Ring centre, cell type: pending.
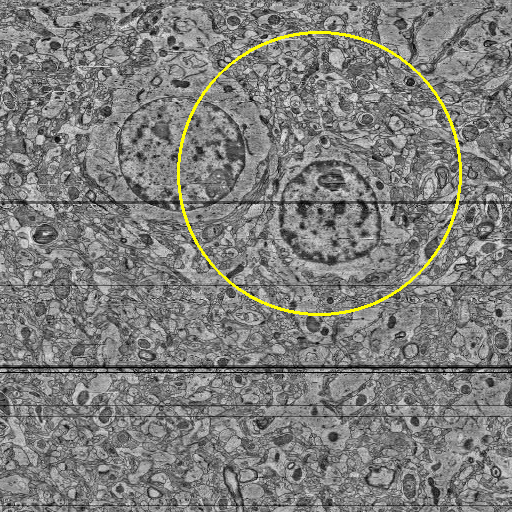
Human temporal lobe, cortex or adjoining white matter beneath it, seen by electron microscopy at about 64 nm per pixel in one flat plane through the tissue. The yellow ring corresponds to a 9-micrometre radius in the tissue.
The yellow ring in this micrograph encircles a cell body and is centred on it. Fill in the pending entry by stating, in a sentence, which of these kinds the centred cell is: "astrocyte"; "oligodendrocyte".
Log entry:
The centred cell is recorded as an astrocyte.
